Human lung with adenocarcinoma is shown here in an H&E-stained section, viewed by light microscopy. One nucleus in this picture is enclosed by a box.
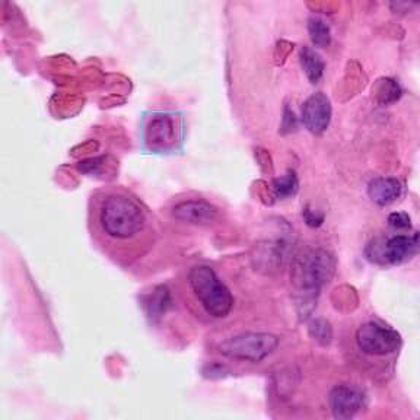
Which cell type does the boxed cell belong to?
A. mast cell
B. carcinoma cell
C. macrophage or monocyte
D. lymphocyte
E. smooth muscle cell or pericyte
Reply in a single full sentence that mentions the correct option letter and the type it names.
Given that the boxed cell is a macrophage or monocyte, option C is the correct one.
